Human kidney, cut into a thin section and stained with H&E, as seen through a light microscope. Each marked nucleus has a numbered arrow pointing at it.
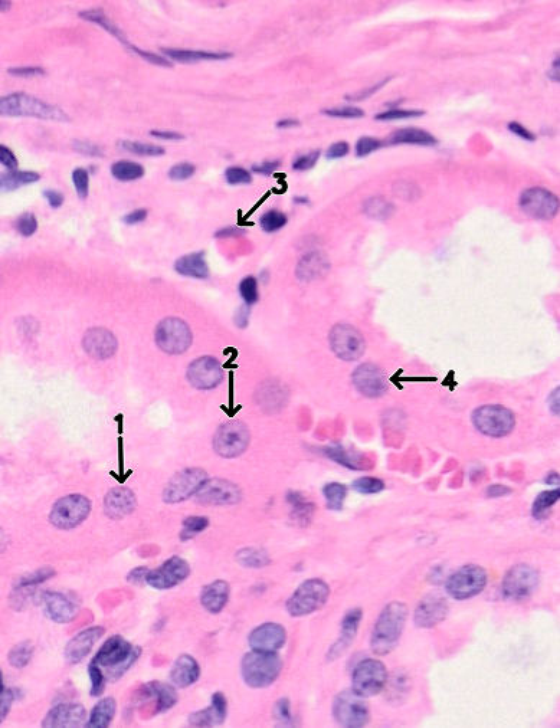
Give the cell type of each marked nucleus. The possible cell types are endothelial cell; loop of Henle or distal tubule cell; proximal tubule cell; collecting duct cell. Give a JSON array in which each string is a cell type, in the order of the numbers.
["proximal tubule cell", "proximal tubule cell", "endothelial cell", "proximal tubule cell"]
